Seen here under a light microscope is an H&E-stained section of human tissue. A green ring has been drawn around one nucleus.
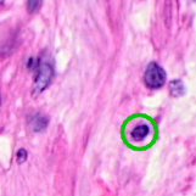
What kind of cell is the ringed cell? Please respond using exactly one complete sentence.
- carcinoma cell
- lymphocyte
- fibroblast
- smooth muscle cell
Histopathologically, the ringed cell is a lymphocyte.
